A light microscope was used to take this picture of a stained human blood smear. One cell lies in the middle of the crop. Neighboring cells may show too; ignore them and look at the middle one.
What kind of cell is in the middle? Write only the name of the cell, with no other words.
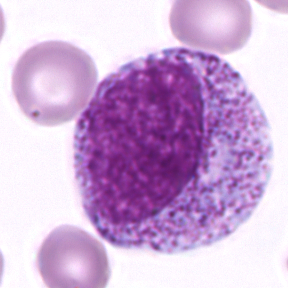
promyelocyte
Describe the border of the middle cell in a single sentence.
No surface projections are present; the cell outline is smooth.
